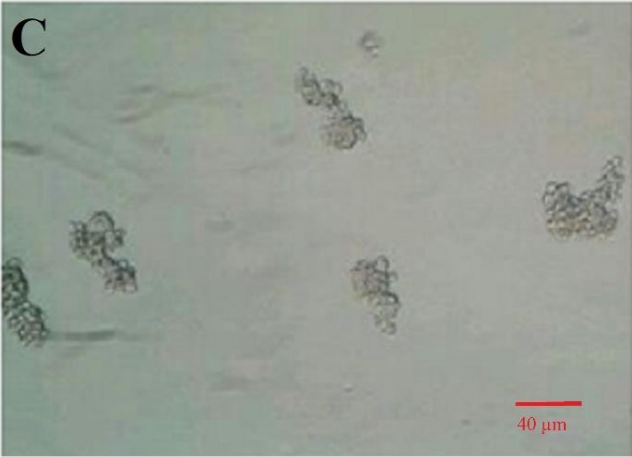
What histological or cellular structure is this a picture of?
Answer: small flowing colonies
